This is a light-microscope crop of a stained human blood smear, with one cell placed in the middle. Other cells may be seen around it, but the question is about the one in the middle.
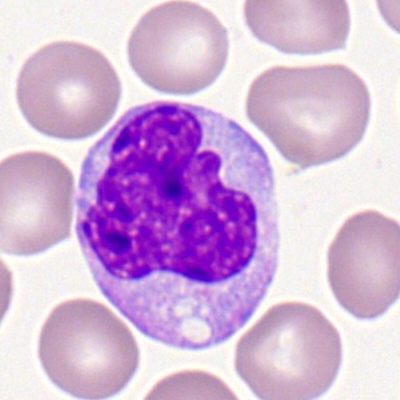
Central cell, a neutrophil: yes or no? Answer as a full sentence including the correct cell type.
No, the centre cell is not a neutrophil but a monocyte.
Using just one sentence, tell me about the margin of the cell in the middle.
If you check the edge, you will find it smooth without projections.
